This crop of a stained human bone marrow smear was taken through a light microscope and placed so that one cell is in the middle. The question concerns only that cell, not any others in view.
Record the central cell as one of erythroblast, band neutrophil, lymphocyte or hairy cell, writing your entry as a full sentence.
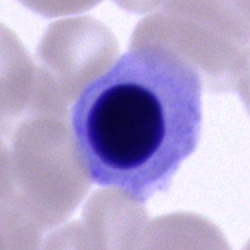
The cell around which this crop is centred is an erythroblast.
